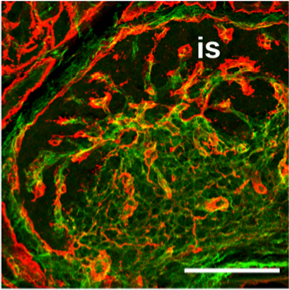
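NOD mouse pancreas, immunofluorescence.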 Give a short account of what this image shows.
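Red strands, many of them tube-like, run through the islet and outline the surrounding tissue. The green network is densest in the lower part of the islet, while the upper part shows mainly red strands in a darker background.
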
